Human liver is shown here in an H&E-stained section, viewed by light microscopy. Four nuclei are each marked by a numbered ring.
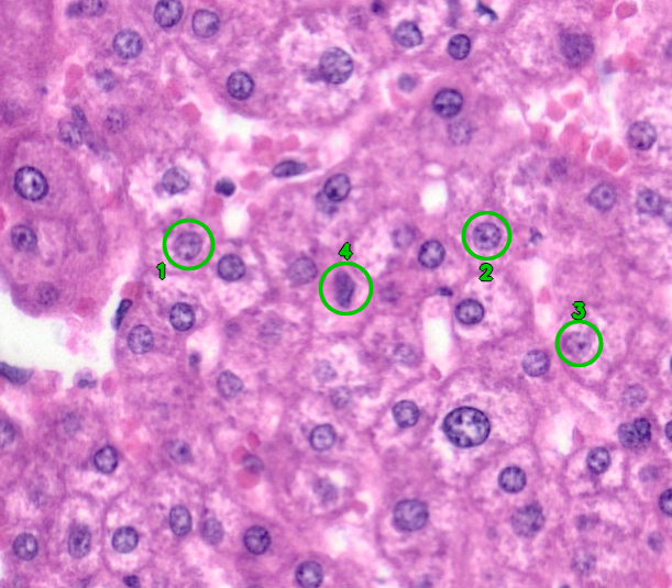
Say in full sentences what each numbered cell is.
Cells 1, 2 and 3 are hepatocytes. Cell 4 is a Kupffer cell.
